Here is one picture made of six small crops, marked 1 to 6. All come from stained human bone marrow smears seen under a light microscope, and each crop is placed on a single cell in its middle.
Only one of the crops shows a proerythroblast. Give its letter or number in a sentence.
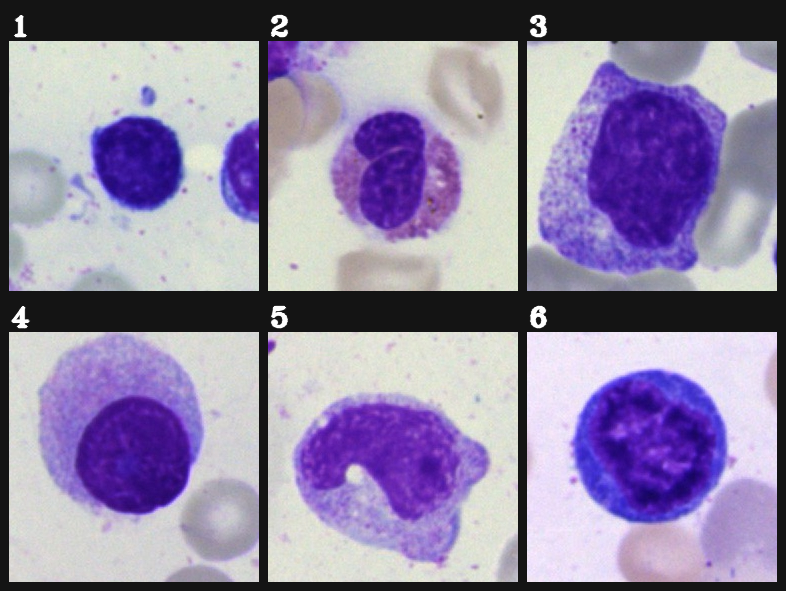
Selected crop: 6, which is the one that shows a proerythroblast.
